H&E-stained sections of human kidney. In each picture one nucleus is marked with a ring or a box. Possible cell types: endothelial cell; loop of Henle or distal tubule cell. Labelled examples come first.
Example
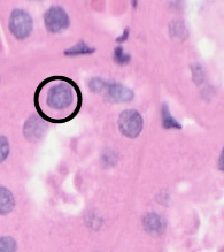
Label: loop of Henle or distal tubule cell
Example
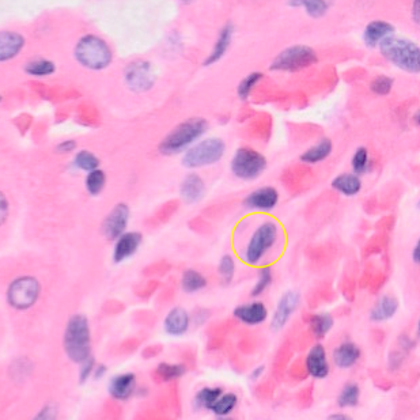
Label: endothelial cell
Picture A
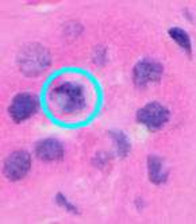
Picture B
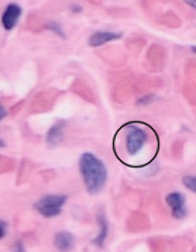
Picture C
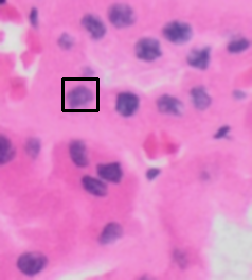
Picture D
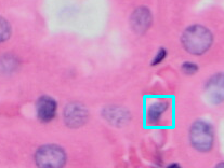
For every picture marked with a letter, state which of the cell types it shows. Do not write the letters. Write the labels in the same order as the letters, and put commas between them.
loop of Henle or distal tubule cell, endothelial cell, loop of Henle or distal tubule cell, endothelial cell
